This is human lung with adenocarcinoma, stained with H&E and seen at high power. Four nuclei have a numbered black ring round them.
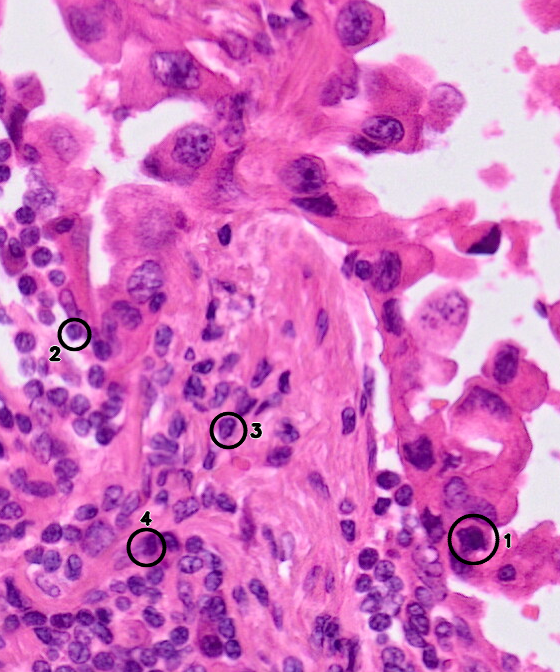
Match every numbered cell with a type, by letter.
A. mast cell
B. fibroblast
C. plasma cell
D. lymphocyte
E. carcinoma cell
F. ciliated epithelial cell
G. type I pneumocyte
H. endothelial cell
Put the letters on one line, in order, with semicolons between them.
E; D; D; C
